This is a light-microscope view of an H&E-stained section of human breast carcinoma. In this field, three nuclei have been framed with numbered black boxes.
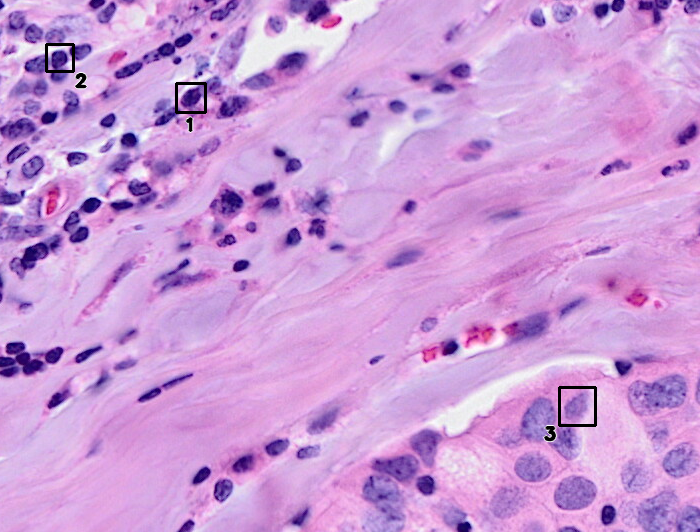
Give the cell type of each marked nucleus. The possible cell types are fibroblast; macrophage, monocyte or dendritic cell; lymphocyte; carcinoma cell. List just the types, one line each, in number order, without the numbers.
lymphocyte
lymphocyte
carcinoma cell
